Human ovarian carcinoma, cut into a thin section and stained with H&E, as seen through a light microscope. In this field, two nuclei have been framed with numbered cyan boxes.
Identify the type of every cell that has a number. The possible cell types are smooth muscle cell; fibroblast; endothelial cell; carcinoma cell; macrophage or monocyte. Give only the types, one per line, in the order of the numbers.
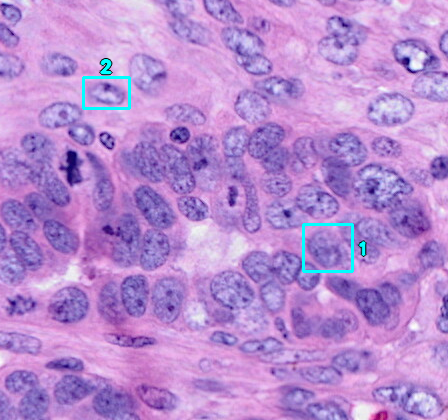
carcinoma cell
fibroblast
